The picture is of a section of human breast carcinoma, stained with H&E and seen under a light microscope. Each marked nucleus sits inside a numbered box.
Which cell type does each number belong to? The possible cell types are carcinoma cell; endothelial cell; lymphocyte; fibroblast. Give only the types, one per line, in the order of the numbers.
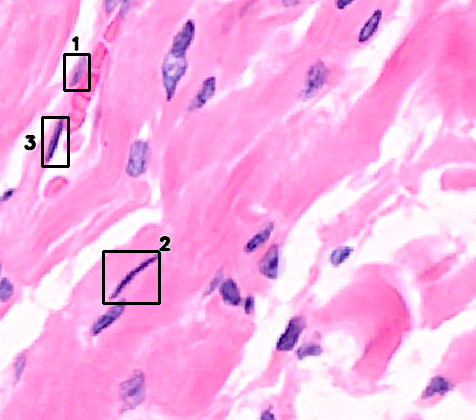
endothelial cell
fibroblast
endothelial cell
